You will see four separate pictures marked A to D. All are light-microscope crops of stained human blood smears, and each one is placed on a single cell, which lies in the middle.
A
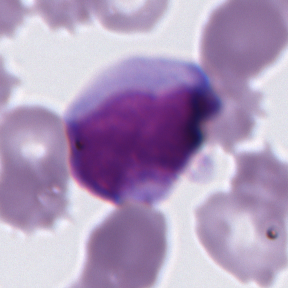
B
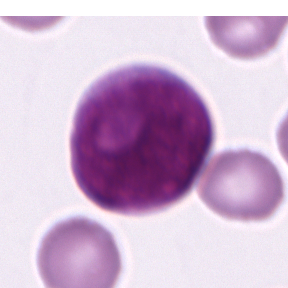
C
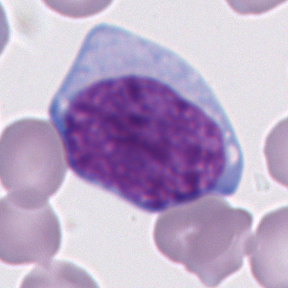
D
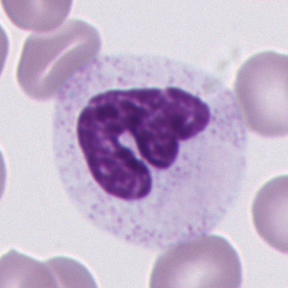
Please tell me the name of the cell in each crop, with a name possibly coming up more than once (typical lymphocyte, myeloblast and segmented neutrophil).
A: myeloblast
B: myeloblast
C: myeloblast
D: segmented neutrophil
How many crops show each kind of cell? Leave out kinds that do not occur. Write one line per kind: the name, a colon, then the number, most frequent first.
myeloblast: 3
segmented neutrophil: 1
